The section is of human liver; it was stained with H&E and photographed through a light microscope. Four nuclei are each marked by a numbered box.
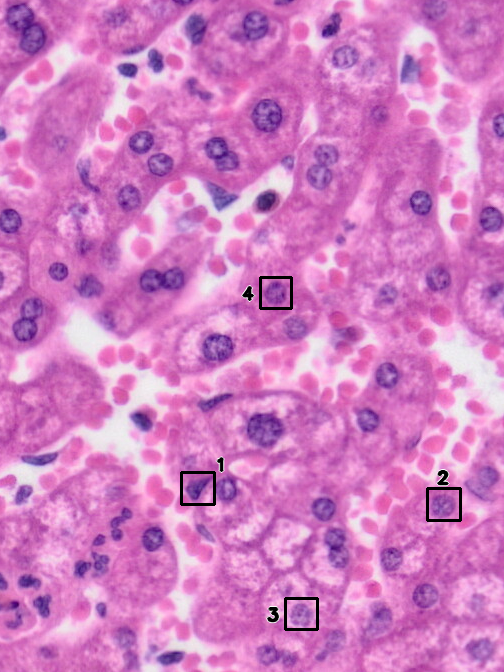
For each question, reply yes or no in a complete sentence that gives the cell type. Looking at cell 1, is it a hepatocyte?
No, cell 1 does not represent a hepatocyte; it represents a fibroblast or stellate cell.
